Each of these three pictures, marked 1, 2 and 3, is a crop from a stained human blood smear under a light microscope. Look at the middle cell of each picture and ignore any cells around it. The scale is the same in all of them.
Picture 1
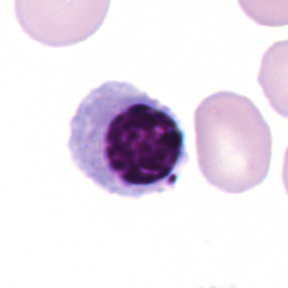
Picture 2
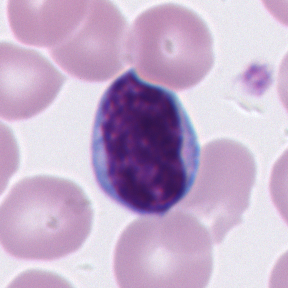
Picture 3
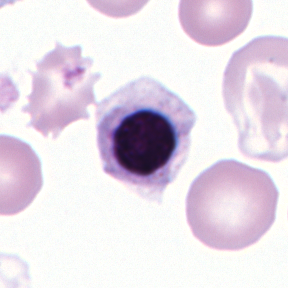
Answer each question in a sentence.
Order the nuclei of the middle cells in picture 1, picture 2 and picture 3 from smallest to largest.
The order is 3, 1, 2, beginning with the smallest.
